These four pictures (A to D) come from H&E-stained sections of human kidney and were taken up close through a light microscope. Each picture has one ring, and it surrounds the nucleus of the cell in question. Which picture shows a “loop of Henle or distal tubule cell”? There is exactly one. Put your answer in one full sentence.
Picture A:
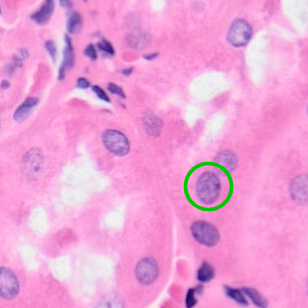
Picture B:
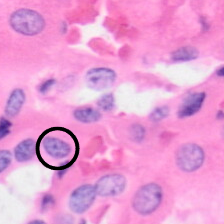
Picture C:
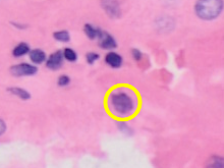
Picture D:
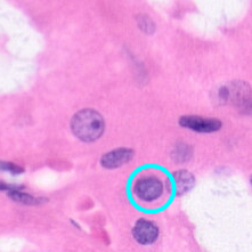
Picture D shows the “loop of Henle or distal tubule cell”.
